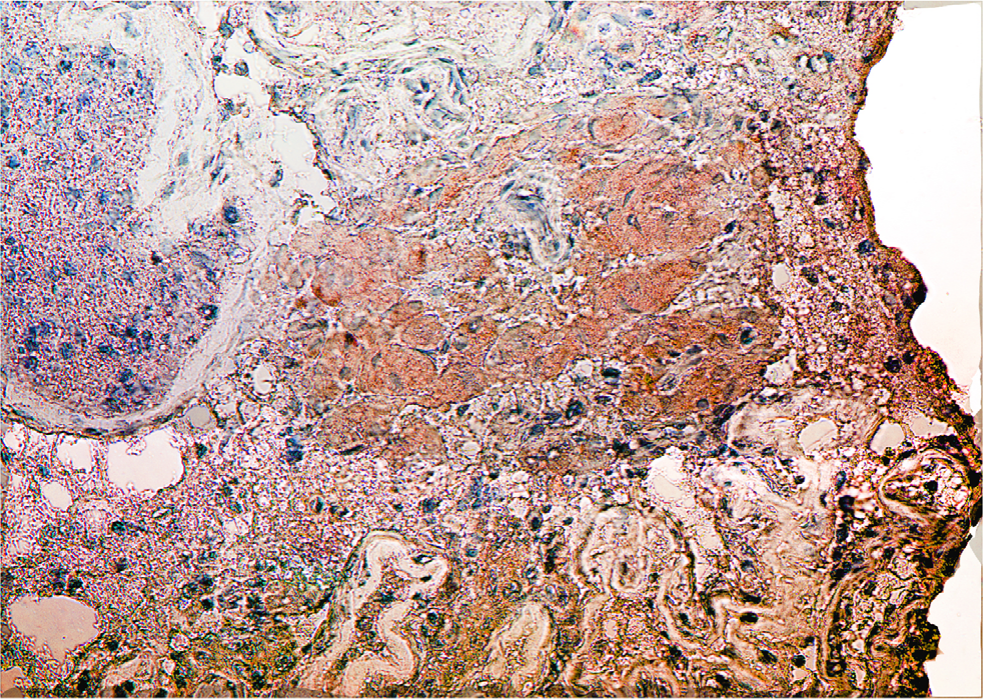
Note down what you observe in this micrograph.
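In the middle of the field, between tubules, lies a sheet of large polygonal cells with round nuclei and plentiful cytoplasm, which is stained reddish-brown. At upper left, part of a tubule is bounded by a pale, thickened wall. Inside it are scattered blue nuclei in a pale, finely granular, unstained matrix, with no layers of maturing cells. Around these lie loose connective tissue and small vessels, and these are mostly unstained. The brown-filled interstitial cells are Leydig cells. They form a crowded cluster beside a tubule that lacks germ cells.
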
